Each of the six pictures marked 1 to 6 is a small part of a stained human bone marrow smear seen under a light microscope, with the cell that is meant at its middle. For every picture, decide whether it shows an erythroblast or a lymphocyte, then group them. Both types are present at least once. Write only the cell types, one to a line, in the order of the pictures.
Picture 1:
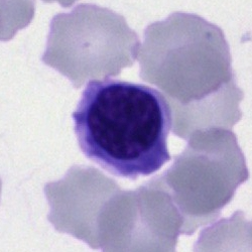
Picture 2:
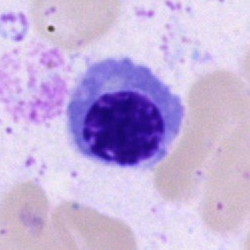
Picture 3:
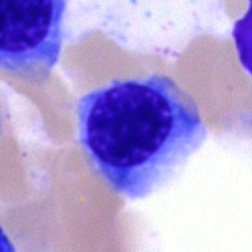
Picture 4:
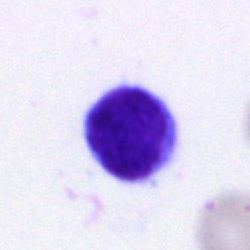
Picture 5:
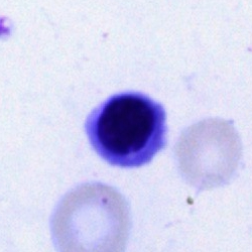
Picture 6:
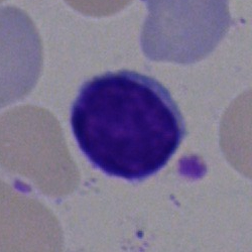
erythroblast
erythroblast
erythroblast
lymphocyte
erythroblast
lymphocyte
